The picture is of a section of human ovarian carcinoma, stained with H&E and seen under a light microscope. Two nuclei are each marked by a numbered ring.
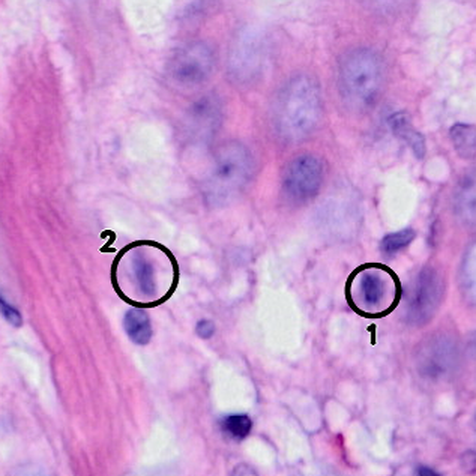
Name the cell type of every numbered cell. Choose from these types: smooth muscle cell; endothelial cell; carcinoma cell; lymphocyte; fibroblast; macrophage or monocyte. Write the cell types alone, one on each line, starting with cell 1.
lymphocyte
macrophage or monocyte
